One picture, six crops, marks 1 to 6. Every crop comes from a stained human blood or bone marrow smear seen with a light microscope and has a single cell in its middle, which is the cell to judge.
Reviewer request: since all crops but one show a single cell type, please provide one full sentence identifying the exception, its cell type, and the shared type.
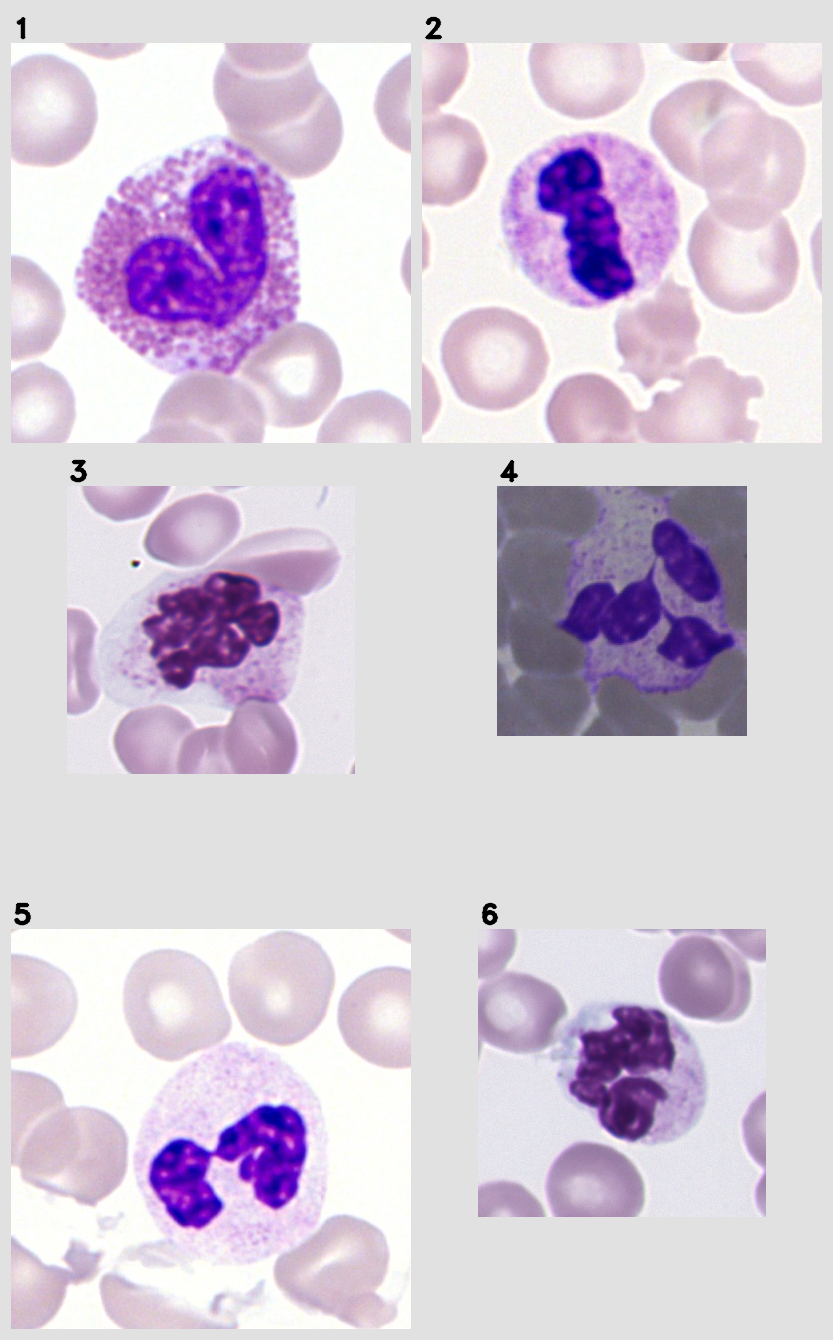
The exception is crop 1, with an eosinophil; the remaining crops all show segmented neutrophils.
